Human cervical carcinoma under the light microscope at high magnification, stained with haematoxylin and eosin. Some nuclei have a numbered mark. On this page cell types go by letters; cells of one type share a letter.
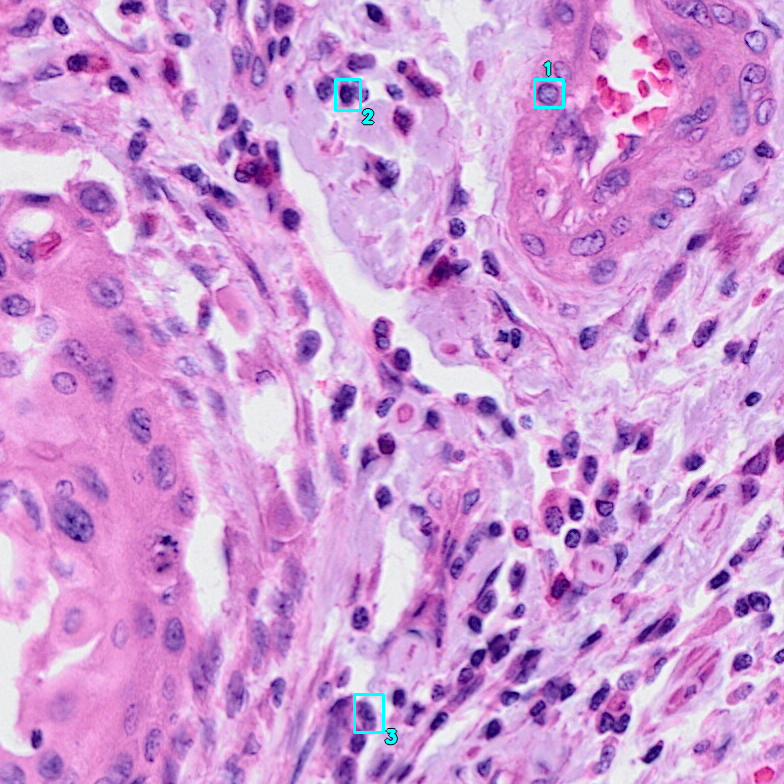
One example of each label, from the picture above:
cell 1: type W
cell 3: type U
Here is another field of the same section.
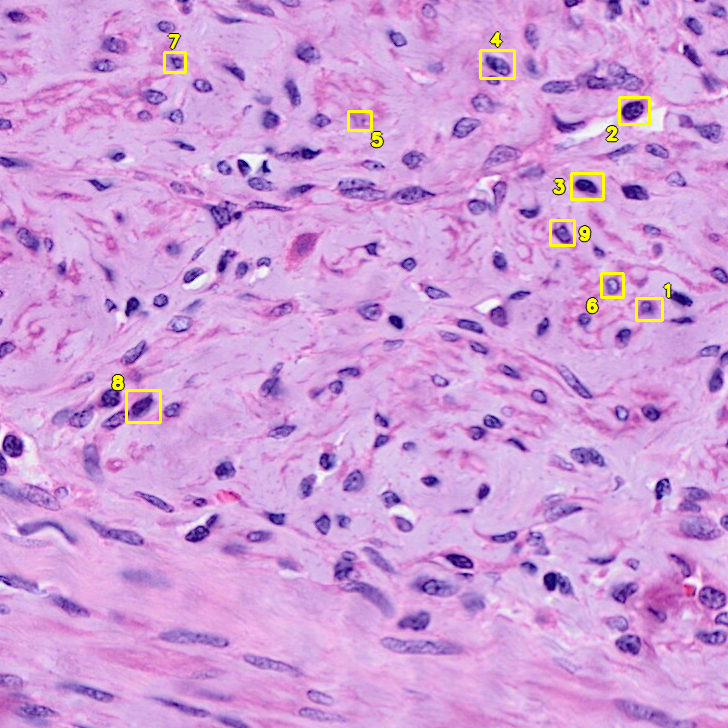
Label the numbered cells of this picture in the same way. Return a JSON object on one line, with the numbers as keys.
{"1": "type W", "2": "type U", "3": "type U", "4": "type U", "5": "type W", "6": "type W", "7": "type W", "8": "type U", "9": "type W"}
